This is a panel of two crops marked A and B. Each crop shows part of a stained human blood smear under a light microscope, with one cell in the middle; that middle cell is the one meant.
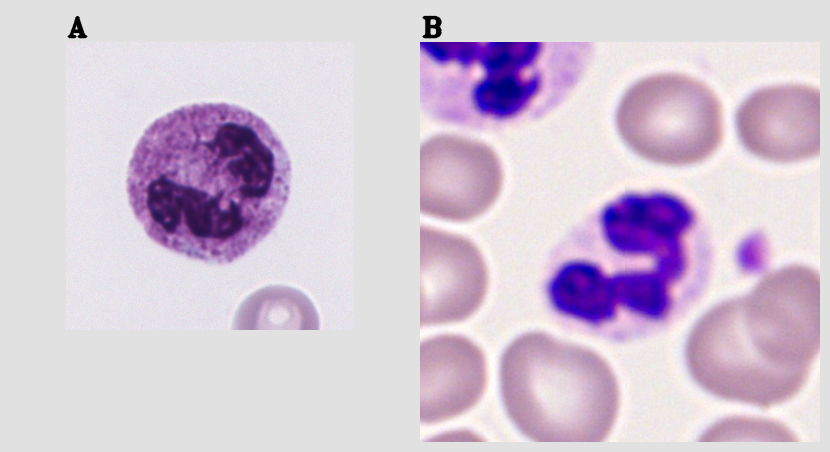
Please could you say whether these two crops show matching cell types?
yes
